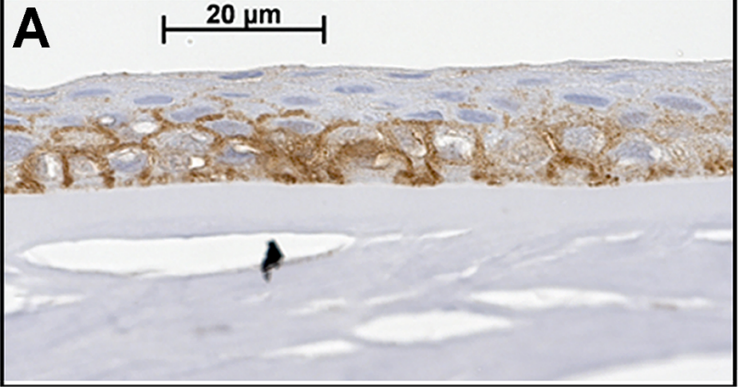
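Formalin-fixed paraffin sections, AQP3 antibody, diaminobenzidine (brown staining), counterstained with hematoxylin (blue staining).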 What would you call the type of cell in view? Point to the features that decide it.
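Corneal epithelial cells. A thin stratified epithelium of a few cell layers lies on a smooth, pale, cell-poor lamellar stroma. Surface cells are flattened with elongated nuclei, deeper cells are rounder. No keratin layer covers the surface.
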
